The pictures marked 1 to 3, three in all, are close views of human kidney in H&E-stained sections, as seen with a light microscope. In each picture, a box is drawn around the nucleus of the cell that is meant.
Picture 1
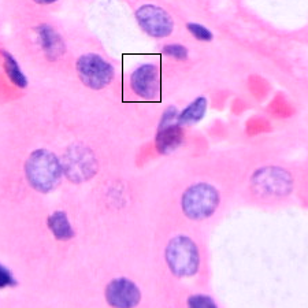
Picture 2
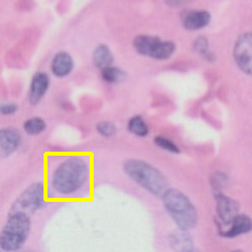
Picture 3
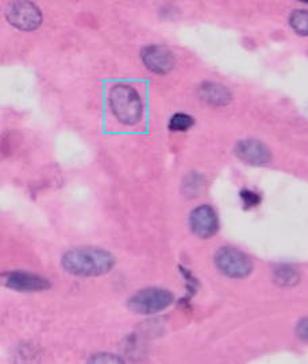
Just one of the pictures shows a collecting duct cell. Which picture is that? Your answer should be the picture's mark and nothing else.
2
